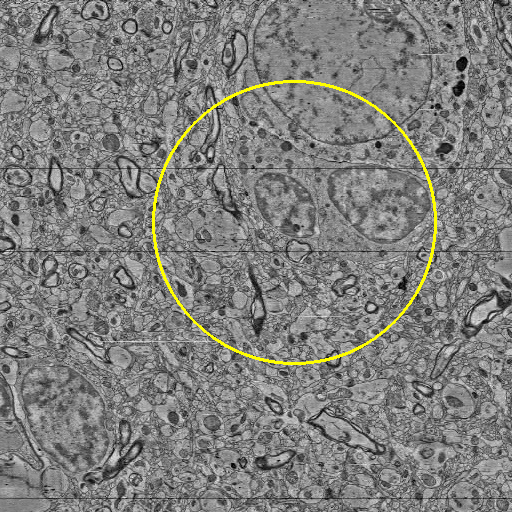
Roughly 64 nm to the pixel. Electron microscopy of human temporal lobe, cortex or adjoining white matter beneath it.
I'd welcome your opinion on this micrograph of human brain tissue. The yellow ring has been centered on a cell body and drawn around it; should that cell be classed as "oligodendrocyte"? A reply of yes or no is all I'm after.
yes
